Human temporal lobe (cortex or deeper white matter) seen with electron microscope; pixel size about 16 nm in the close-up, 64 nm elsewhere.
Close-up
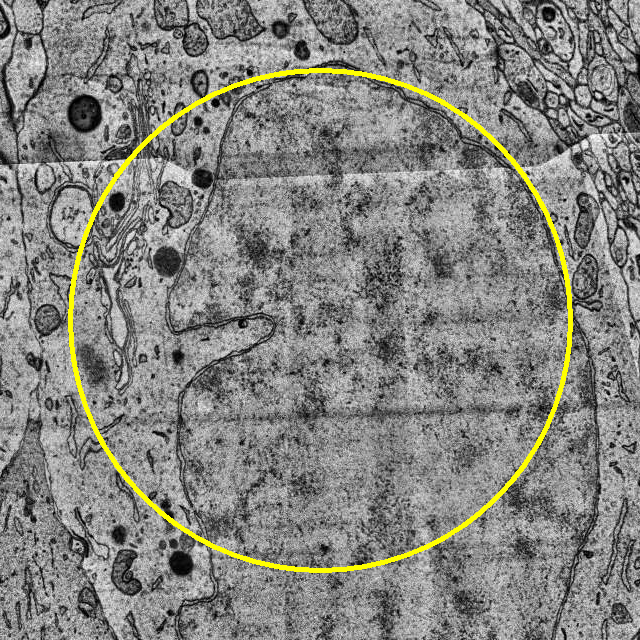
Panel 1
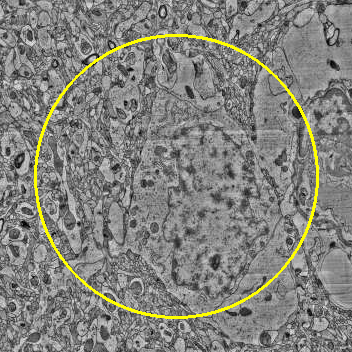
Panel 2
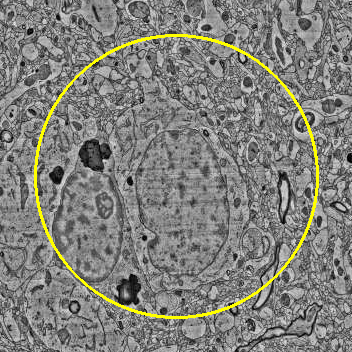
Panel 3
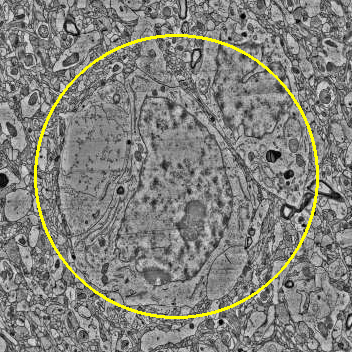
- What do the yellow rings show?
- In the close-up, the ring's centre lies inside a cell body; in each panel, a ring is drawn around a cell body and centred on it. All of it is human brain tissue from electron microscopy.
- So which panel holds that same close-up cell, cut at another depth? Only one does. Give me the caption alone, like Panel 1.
Panel 2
